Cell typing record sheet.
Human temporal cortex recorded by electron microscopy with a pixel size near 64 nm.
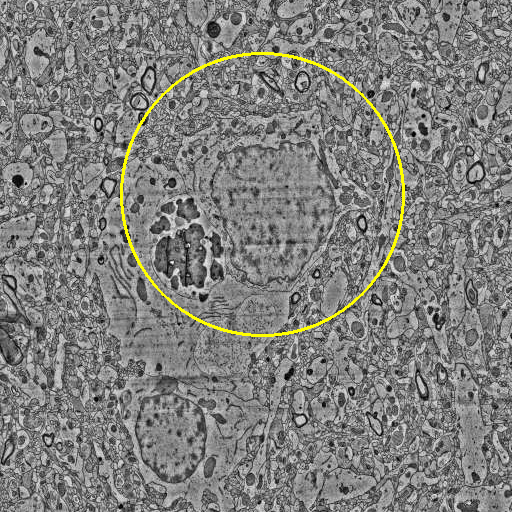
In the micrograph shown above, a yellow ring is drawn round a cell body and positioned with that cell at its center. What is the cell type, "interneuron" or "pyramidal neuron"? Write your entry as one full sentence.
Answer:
The cell body at the center of the ring belongs to an interneuron.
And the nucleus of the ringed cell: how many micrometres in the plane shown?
The ringed cell's nucleus measures approximately 10 by 8 micrometres in this plane.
